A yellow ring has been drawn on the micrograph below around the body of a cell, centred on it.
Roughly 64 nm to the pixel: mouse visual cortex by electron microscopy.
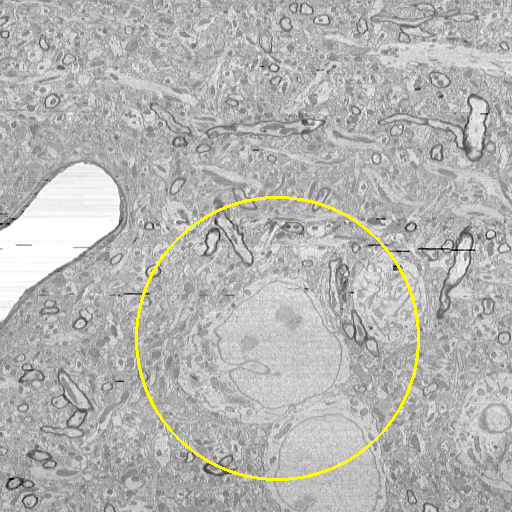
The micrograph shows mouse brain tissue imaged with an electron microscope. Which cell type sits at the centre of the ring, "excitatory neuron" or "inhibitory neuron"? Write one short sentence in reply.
The cell sitting at the centre of the ring is an excitatory neuron.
